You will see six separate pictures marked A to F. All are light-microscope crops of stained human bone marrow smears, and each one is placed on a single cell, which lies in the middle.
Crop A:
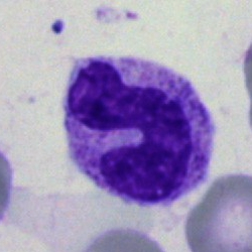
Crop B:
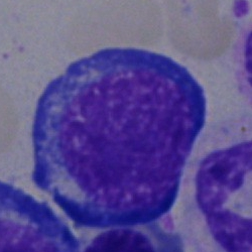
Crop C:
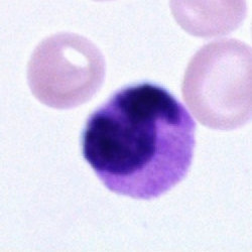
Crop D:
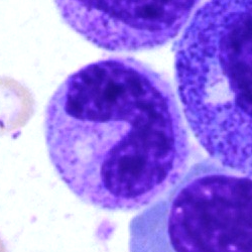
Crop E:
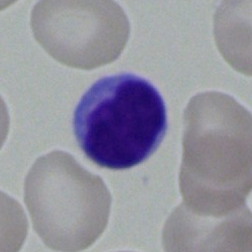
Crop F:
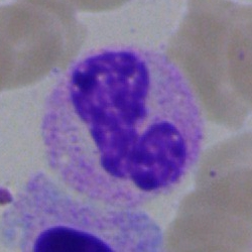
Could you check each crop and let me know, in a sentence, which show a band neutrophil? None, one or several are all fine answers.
In the series, crops A, D and F show band neutrophils.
